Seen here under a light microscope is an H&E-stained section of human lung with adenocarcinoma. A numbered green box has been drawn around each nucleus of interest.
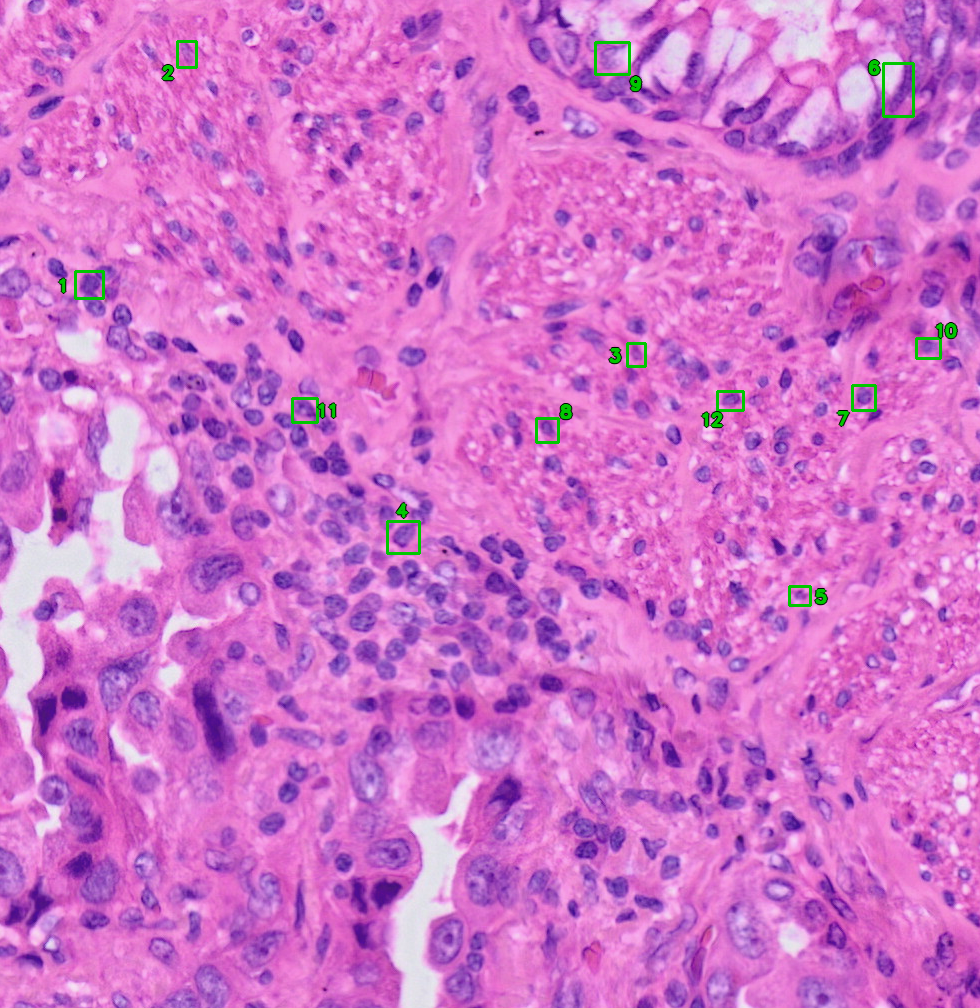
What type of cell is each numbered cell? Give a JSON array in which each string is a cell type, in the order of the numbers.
["lymphocyte", "smooth muscle cell or pericyte", "smooth muscle cell or pericyte", "mast cell", "smooth muscle cell or pericyte", "ciliated epithelial cell", "smooth muscle cell or pericyte", "smooth muscle cell or pericyte", "ciliated epithelial cell", "smooth muscle cell or pericyte", "lymphocyte", "smooth muscle cell or pericyte"]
